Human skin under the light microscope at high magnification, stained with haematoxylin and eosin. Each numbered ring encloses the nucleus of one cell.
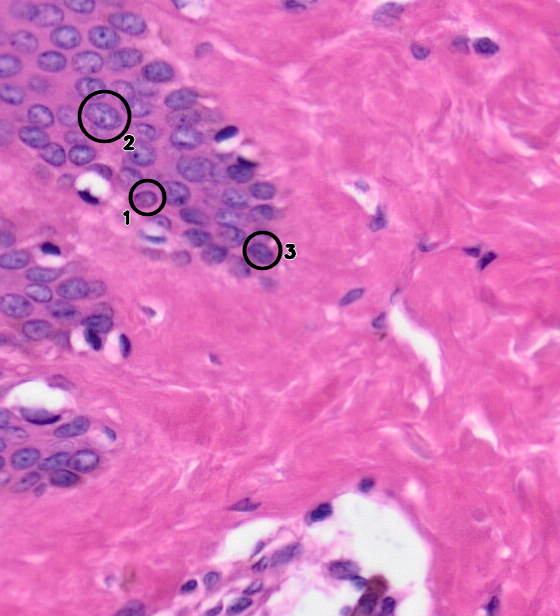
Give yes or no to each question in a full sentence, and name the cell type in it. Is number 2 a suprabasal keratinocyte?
Yes, the number 2 belongs to a suprabasal keratinocyte.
